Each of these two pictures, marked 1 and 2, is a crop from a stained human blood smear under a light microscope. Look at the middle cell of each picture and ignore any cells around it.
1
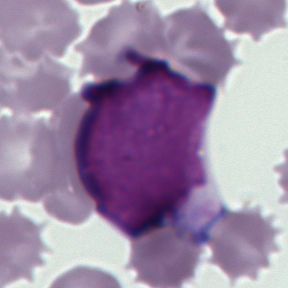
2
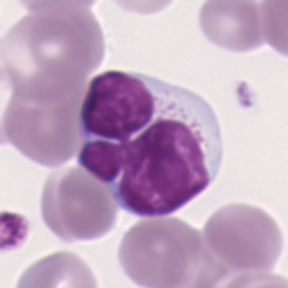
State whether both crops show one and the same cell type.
no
